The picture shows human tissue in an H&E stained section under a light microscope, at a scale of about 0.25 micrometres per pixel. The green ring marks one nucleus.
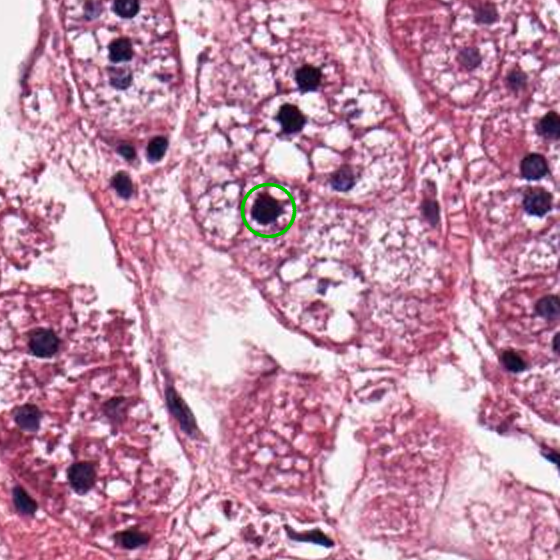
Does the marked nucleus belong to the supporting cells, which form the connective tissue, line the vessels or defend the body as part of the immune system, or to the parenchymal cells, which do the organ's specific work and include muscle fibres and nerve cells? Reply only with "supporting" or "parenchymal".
parenchymal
